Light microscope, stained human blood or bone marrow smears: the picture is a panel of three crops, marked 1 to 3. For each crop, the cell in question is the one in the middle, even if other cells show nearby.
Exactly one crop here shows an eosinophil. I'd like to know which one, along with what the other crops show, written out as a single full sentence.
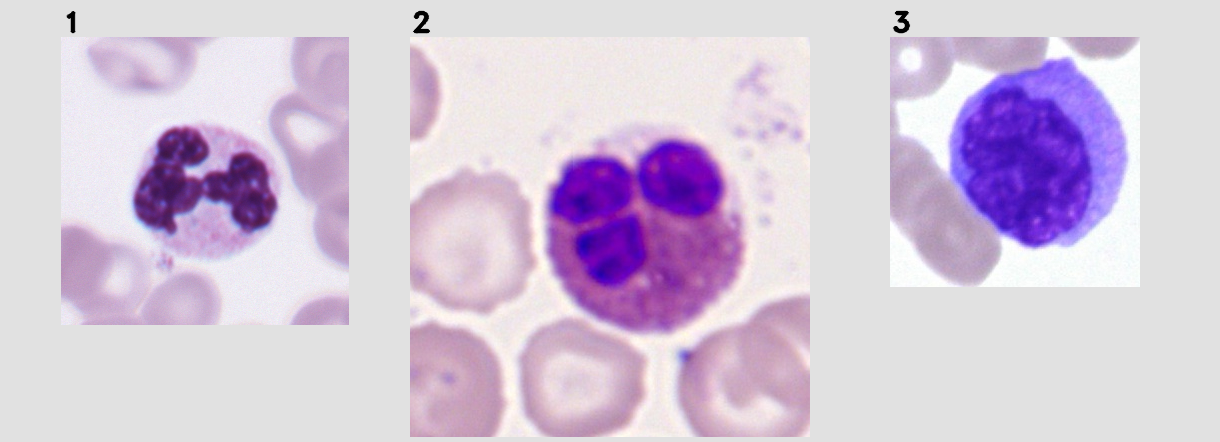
Crop 2 is where an eosinophil is shown, whereas crop 1 is a segmented neutrophil and crop 3 is a monocyte.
